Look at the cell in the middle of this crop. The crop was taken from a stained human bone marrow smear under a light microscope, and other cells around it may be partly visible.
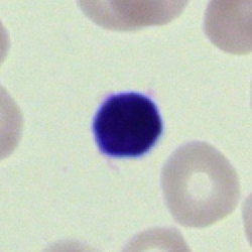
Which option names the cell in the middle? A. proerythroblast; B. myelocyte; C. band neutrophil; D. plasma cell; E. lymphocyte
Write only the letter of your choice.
E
